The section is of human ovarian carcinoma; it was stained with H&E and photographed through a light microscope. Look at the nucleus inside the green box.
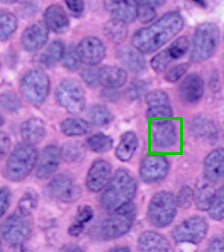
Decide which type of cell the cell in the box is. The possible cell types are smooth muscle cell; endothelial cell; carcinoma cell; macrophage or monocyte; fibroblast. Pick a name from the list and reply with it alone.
carcinoma cell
